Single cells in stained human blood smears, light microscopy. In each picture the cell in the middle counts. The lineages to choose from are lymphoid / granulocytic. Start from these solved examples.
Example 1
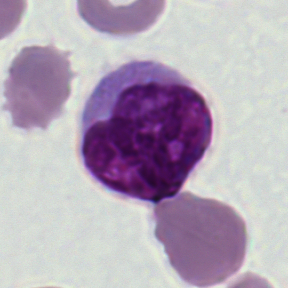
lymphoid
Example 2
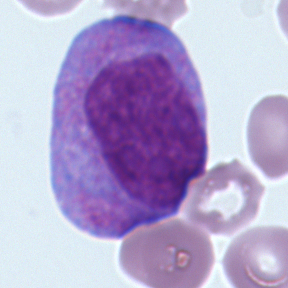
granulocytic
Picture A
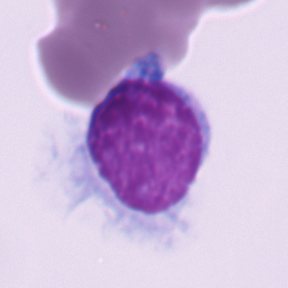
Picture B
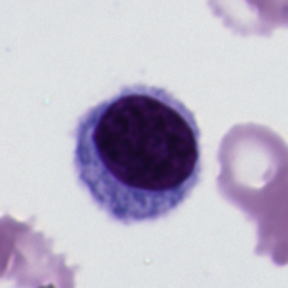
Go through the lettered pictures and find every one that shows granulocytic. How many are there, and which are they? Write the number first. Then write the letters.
0, none of them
